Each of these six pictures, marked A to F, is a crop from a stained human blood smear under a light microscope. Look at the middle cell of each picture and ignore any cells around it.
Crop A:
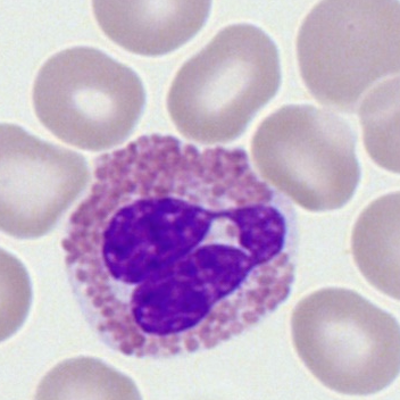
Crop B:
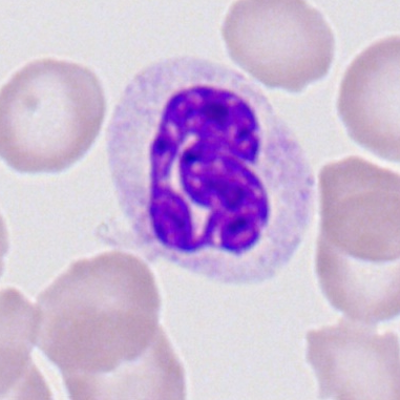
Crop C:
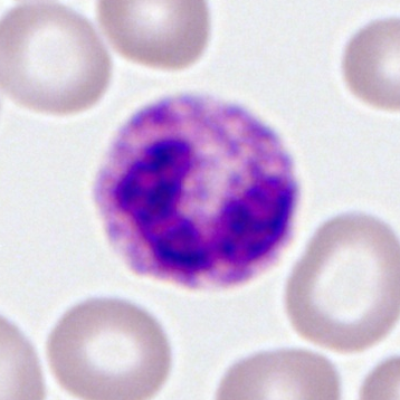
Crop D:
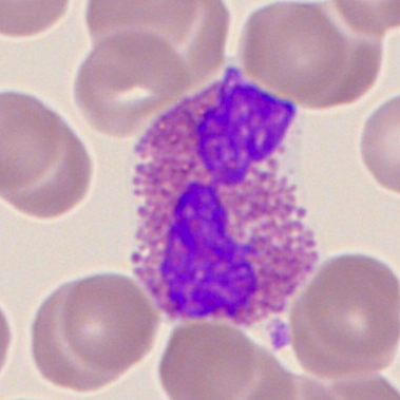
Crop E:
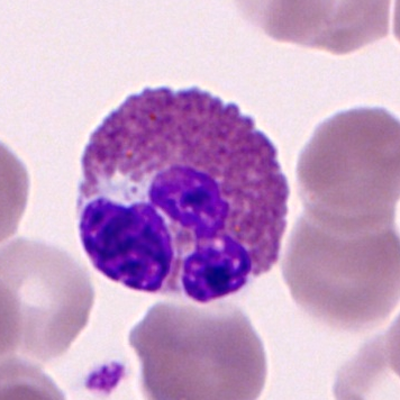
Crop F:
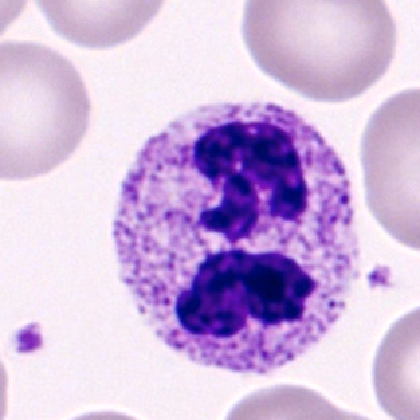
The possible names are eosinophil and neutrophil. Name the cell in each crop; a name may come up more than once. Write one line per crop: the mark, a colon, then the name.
A: eosinophil
B: neutrophil
C: eosinophil
D: eosinophil
E: eosinophil
F: neutrophil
